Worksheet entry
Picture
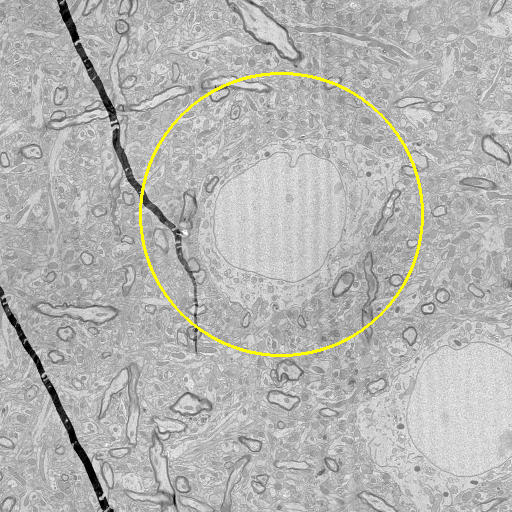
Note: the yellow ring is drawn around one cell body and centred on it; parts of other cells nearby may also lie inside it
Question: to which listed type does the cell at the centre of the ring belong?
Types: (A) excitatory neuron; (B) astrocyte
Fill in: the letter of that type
A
